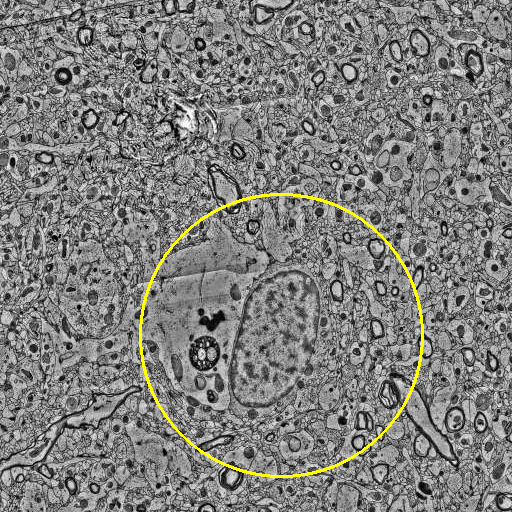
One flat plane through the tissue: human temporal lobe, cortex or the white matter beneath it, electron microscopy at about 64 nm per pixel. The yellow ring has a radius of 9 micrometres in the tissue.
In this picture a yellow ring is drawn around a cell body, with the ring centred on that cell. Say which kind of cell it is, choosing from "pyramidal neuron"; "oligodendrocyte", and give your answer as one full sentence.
Here it is an oligodendrocyte that sits at the centre of the drawn yellow ring.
